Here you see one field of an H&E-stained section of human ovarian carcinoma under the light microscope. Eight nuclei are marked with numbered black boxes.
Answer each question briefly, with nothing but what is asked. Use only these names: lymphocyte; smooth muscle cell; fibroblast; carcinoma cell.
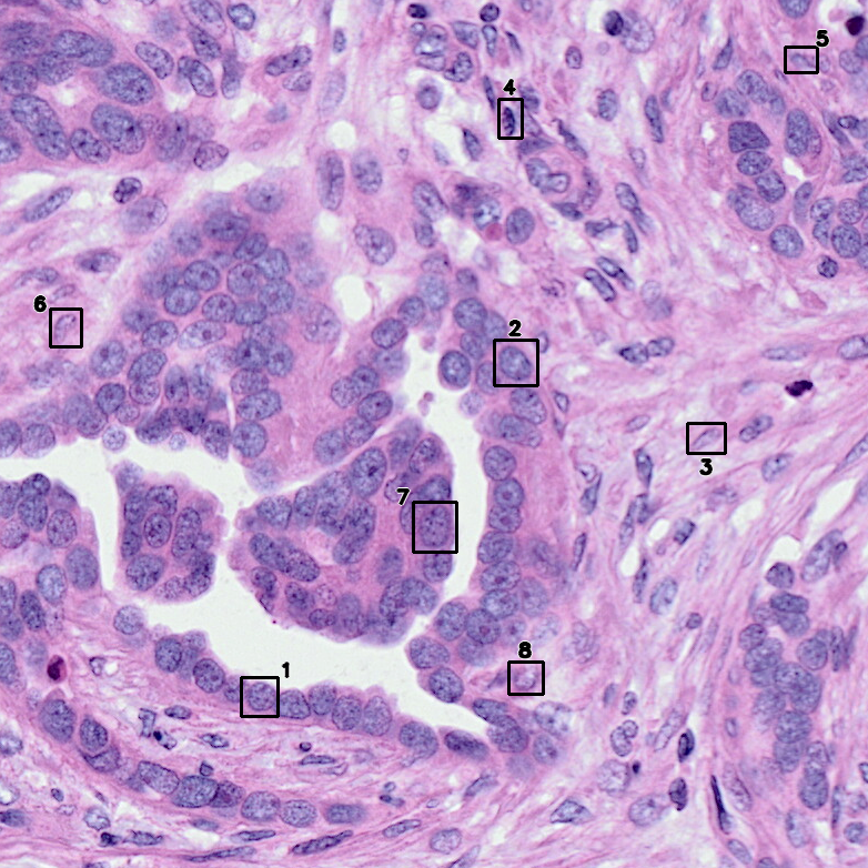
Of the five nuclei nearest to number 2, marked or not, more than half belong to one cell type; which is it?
carcinoma cell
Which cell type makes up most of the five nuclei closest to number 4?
fibroblast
